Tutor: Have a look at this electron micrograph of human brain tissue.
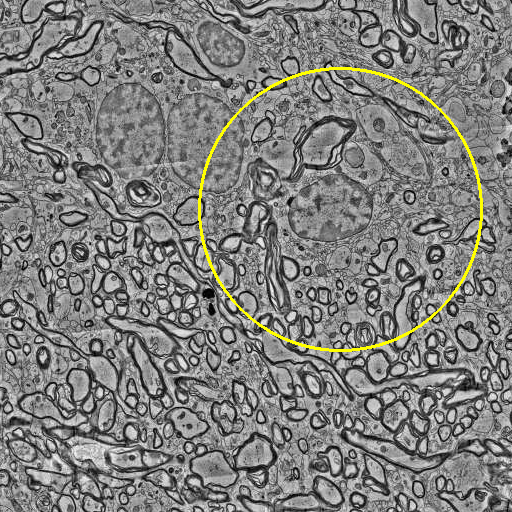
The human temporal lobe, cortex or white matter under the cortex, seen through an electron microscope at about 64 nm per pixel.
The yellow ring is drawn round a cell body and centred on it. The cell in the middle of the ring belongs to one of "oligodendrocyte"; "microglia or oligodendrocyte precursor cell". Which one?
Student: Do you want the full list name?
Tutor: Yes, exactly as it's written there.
microglia or oligodendrocyte precursor cell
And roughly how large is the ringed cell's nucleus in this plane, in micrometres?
In this plane the nucleus spans approximately 5 by 4 micrometers.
